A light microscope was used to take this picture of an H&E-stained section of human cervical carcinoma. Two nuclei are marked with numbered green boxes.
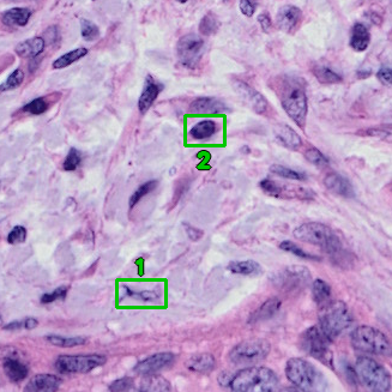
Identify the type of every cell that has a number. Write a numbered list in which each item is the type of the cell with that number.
1. fibroblast
2. lymphocyte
